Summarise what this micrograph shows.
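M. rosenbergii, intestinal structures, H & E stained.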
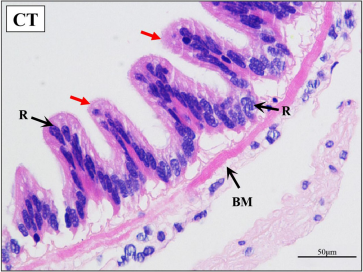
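The epithelium is made of tall columnar cells whose elongated, dark purple nuclei are crowded in several tiers within the folds, while the cytoplasm toward the luminal edge is pink. Under the epithelium runs a continuous, bright pink band of basement membrane. Beneath it is a loose layer with scattered small nuclei, and the lumen is largely empty.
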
